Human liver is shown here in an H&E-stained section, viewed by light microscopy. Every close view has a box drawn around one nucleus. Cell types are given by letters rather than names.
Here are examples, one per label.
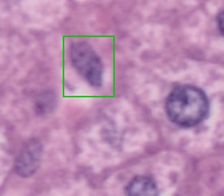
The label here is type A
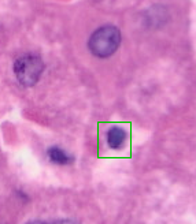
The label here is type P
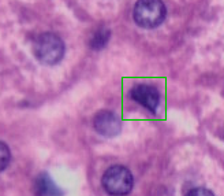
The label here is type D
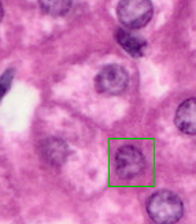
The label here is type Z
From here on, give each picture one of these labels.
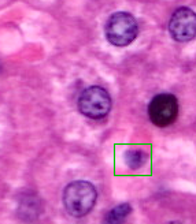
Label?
type P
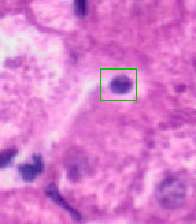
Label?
type P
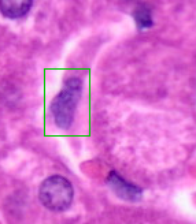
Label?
type A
